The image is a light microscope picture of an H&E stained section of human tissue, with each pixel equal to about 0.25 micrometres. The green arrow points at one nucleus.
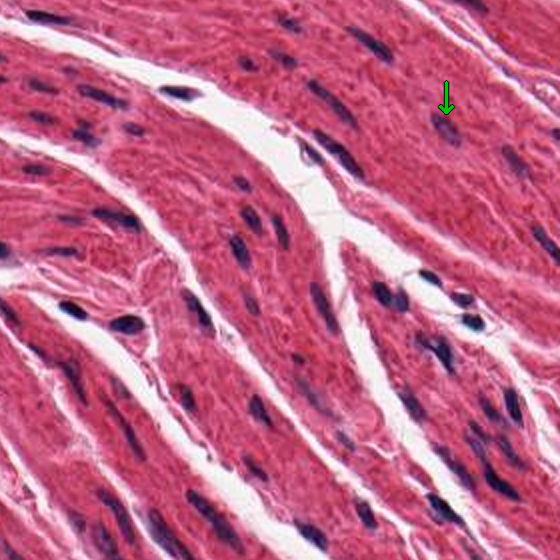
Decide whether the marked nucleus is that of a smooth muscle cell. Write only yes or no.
yes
